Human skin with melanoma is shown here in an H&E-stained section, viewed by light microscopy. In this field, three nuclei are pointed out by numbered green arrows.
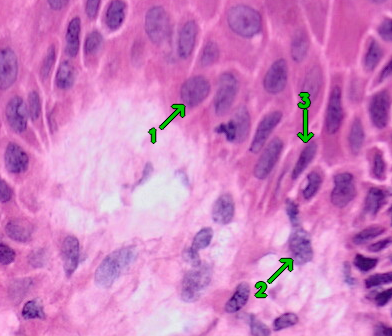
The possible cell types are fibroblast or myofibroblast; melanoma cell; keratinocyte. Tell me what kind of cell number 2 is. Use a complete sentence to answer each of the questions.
The nucleus with number 2 is that of a fibroblast or myofibroblast.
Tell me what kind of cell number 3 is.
Of the numbered cells, the one labelled 3 is a keratinocyte.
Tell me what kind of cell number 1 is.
Identified by the number 1, the cell is a keratinocyte.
